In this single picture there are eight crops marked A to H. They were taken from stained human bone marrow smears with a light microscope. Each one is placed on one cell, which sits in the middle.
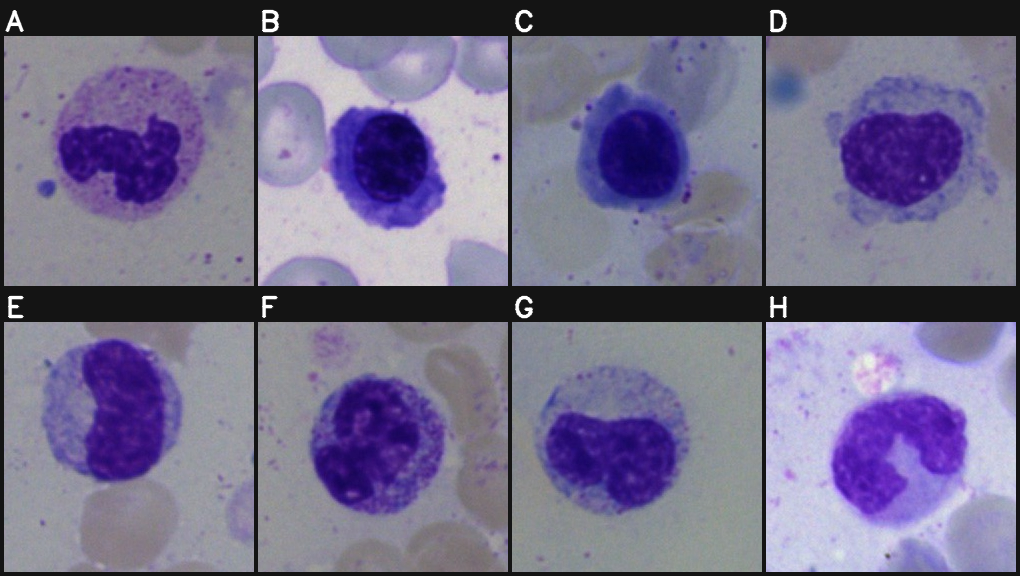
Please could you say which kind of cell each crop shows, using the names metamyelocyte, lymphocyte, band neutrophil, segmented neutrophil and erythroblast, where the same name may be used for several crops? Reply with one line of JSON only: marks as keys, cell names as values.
{"A": "segmented neutrophil", "B": "erythroblast", "C": "erythroblast", "D": "metamyelocyte", "E": "metamyelocyte", "F": "metamyelocyte", "G": "metamyelocyte", "H": "band neutrophil"}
